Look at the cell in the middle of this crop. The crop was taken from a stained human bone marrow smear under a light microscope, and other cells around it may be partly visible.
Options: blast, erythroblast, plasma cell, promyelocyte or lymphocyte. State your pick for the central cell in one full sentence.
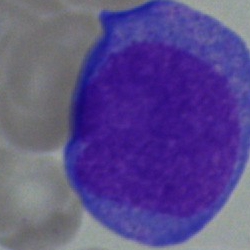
The cell positioned in the middle of the field is a blast.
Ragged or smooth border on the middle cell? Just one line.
Ragged or projecting, the border of this cell departs from a smooth contour.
